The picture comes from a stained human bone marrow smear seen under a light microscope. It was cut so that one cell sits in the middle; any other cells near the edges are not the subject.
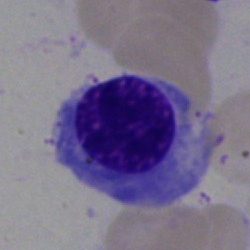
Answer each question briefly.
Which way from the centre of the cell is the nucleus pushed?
upper left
